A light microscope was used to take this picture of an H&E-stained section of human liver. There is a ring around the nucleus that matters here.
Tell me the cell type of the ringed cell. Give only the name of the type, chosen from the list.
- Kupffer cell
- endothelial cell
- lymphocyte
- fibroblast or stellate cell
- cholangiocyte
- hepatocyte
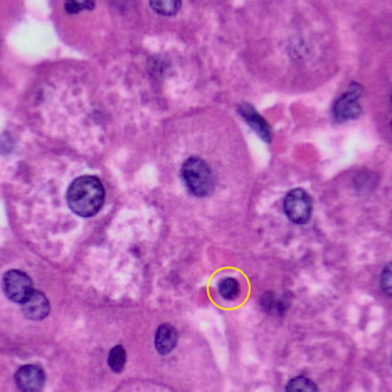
lymphocyte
